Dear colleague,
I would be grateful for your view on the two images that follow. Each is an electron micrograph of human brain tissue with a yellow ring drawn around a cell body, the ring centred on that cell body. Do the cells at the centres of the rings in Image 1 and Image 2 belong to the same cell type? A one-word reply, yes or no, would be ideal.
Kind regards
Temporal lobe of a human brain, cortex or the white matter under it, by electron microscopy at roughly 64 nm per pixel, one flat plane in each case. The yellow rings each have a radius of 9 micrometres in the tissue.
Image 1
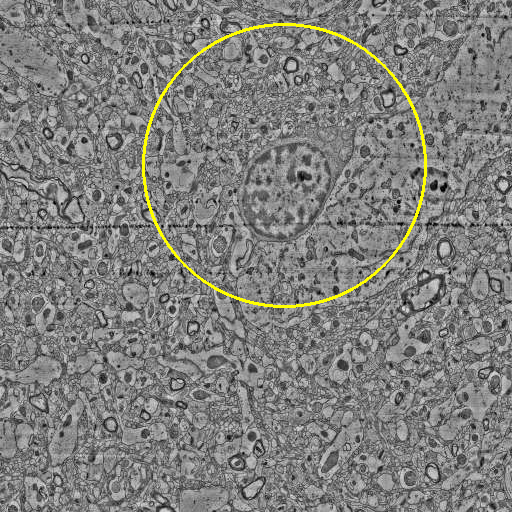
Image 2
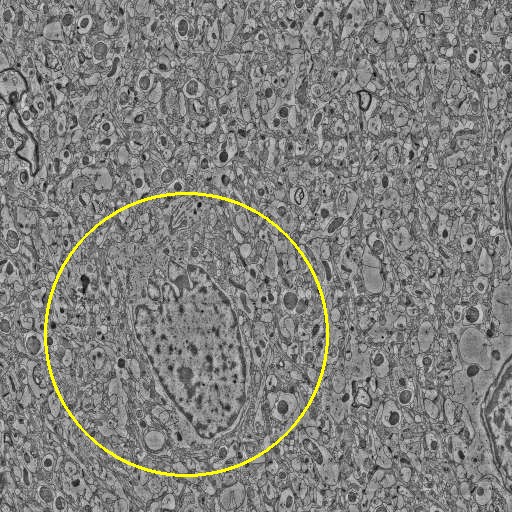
no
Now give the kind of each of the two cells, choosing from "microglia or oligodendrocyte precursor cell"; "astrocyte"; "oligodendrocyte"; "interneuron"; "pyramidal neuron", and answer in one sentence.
The cell in the first picture is an oligodendrocyte, and the cell in the second is a microglial cell or oligodendrocyte precursor cell.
